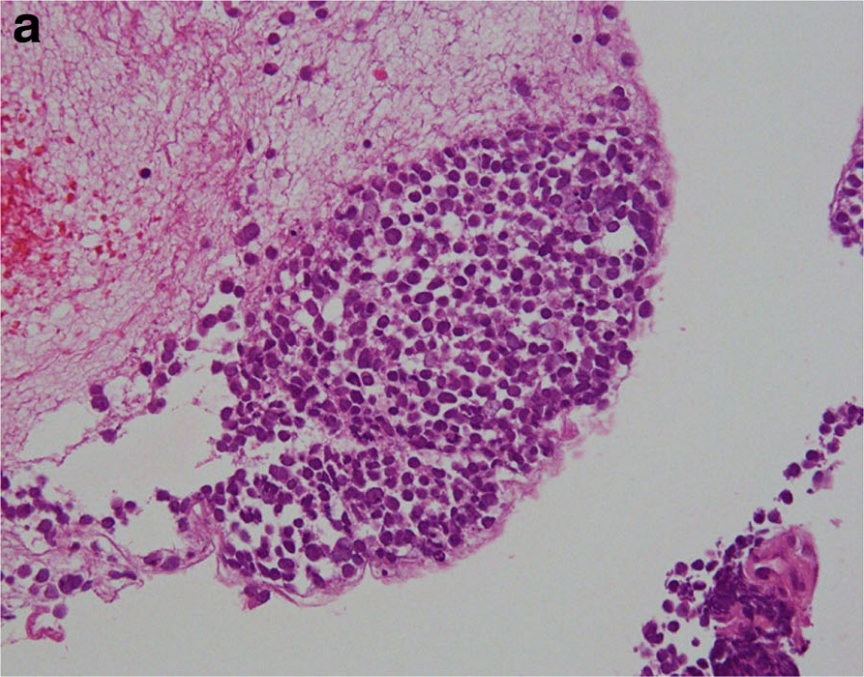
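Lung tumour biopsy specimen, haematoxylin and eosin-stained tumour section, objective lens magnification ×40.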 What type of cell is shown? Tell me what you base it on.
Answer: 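A dense cluster of small, closely packed cells with dark purple nuclei. Very little pink cytoplasm is visible around most nuclei. Nuclei are round to oval and crowded together. That points to this answer: small cells with scant cytoplasm.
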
